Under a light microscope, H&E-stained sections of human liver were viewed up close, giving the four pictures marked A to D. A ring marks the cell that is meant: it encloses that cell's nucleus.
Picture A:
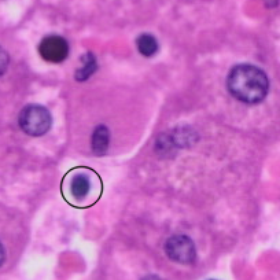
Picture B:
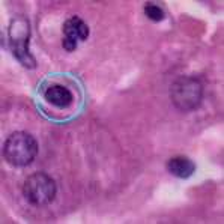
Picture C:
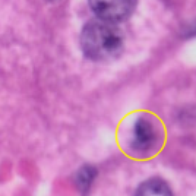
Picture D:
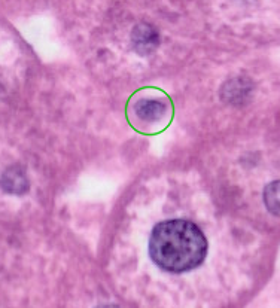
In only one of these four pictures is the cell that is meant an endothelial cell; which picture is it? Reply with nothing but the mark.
C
